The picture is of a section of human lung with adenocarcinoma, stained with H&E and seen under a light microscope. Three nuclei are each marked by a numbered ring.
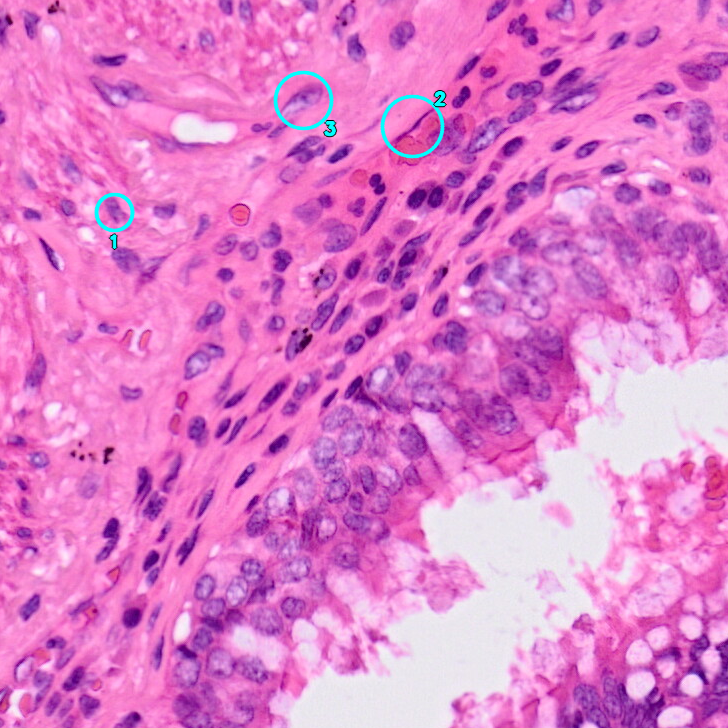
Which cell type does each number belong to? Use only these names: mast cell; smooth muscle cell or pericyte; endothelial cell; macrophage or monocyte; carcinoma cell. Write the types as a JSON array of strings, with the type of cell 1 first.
["smooth muscle cell or pericyte", "endothelial cell", "endothelial cell"]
